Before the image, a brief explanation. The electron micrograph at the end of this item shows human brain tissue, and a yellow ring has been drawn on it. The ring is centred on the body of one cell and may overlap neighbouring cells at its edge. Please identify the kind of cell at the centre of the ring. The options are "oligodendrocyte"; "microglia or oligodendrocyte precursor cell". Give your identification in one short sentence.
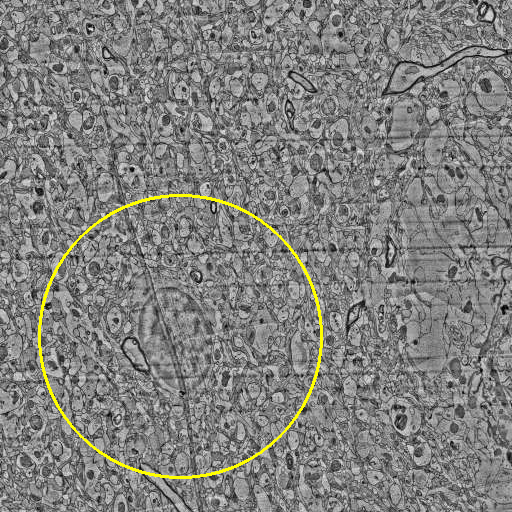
The ring has been placed around an oligodendrocyte.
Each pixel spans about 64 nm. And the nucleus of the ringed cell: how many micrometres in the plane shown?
The nucleus is approximately 6 micrometers long by 5 micrometers wide in this plane.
